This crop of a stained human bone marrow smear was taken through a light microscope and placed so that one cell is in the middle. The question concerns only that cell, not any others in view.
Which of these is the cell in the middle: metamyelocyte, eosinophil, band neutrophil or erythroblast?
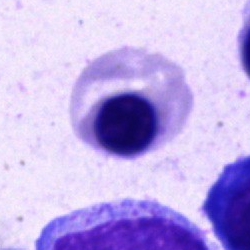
erythroblast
